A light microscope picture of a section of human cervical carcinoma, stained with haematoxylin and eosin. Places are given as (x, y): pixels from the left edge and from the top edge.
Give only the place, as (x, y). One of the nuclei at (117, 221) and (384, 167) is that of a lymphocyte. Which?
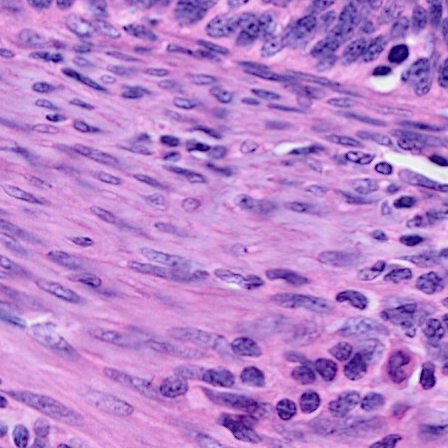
(384, 167)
